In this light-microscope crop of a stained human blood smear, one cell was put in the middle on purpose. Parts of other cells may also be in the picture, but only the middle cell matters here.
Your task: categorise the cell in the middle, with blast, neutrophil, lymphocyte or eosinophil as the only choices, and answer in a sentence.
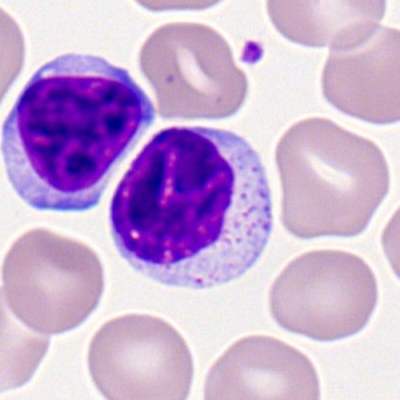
The target cell in the middle of the crop is a lymphocyte.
